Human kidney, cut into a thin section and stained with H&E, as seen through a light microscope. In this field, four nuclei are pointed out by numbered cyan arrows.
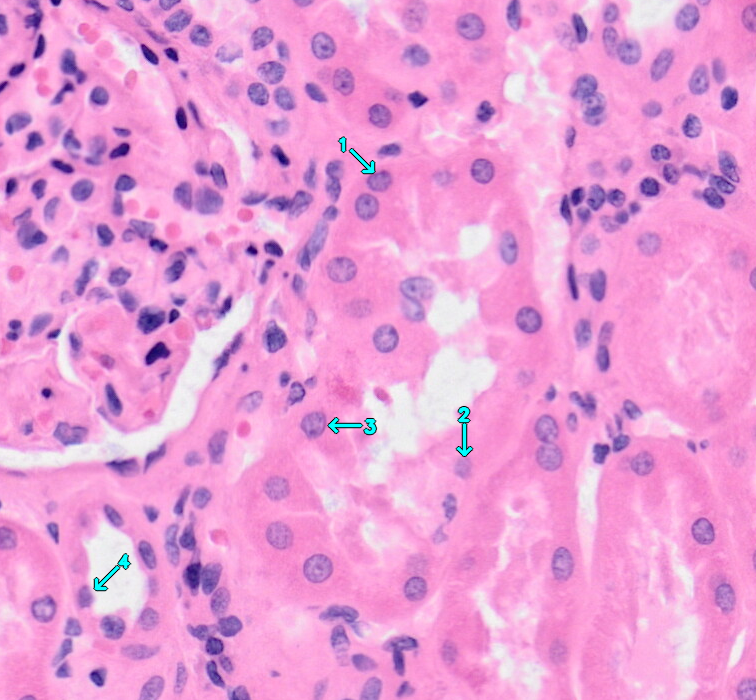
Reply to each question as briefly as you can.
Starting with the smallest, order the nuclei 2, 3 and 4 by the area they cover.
4, 2, 3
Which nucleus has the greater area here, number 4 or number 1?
1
